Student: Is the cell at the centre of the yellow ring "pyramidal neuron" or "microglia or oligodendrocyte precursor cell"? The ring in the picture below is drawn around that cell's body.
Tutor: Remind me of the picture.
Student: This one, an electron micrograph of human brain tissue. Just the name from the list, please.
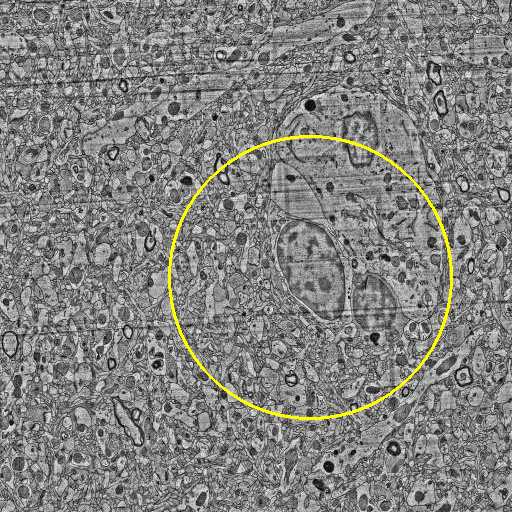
microglia or oligodendrocyte precursor cell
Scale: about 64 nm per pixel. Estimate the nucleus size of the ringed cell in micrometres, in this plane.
About 7 by 4 micrometres in this plane.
